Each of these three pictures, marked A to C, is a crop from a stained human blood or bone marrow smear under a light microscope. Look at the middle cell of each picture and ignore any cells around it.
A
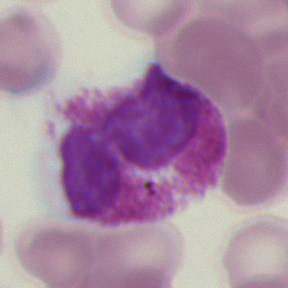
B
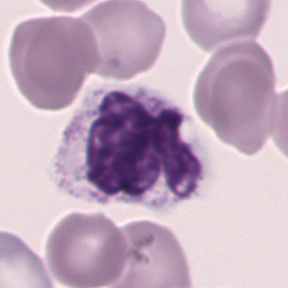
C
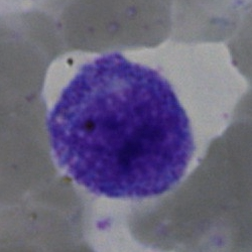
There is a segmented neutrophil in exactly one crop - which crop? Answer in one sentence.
Crop B is the crop that displays a segmented neutrophil.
